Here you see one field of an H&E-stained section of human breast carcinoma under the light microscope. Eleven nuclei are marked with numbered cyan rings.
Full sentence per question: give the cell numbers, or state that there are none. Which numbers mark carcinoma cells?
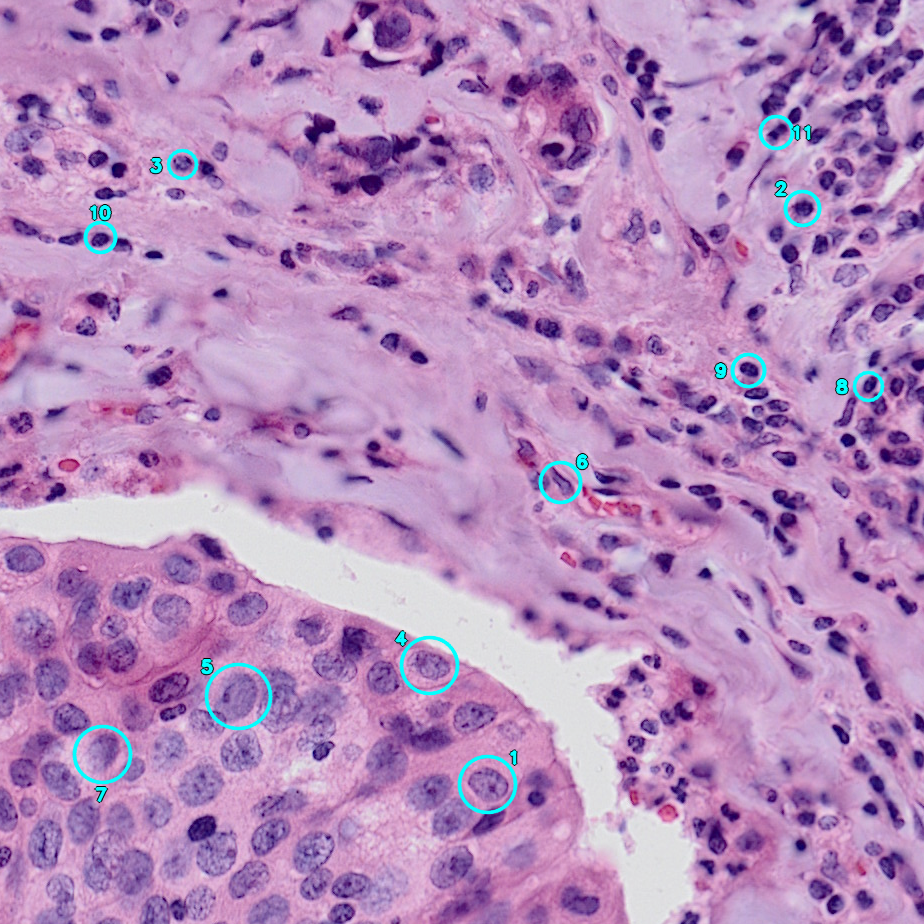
Cells 1, 4, 5 and 7 are classified as carcinoma cells.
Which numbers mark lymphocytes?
The cells picked out by numbers 2, 8, 9, 10 and 11 are lymphocytes.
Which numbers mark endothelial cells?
No marked cell except number 6 is an endothelial cell.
